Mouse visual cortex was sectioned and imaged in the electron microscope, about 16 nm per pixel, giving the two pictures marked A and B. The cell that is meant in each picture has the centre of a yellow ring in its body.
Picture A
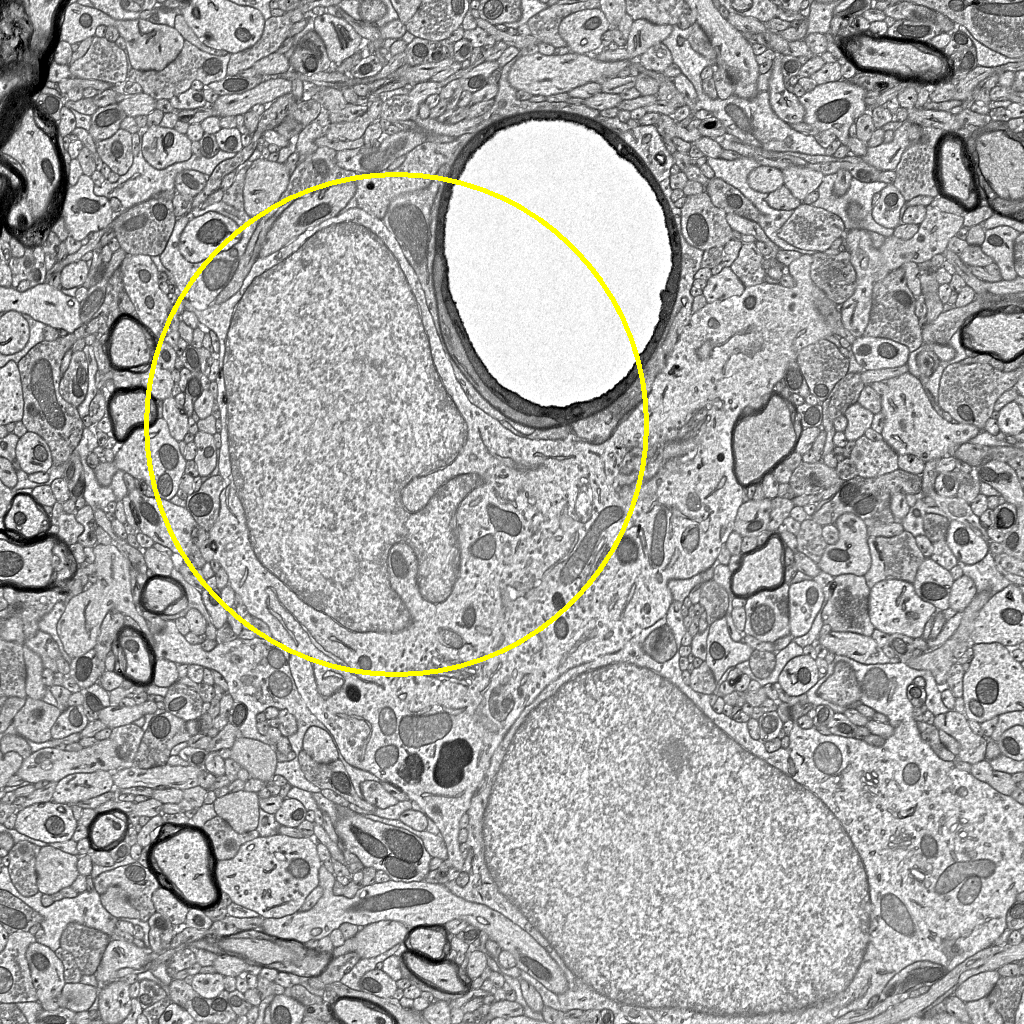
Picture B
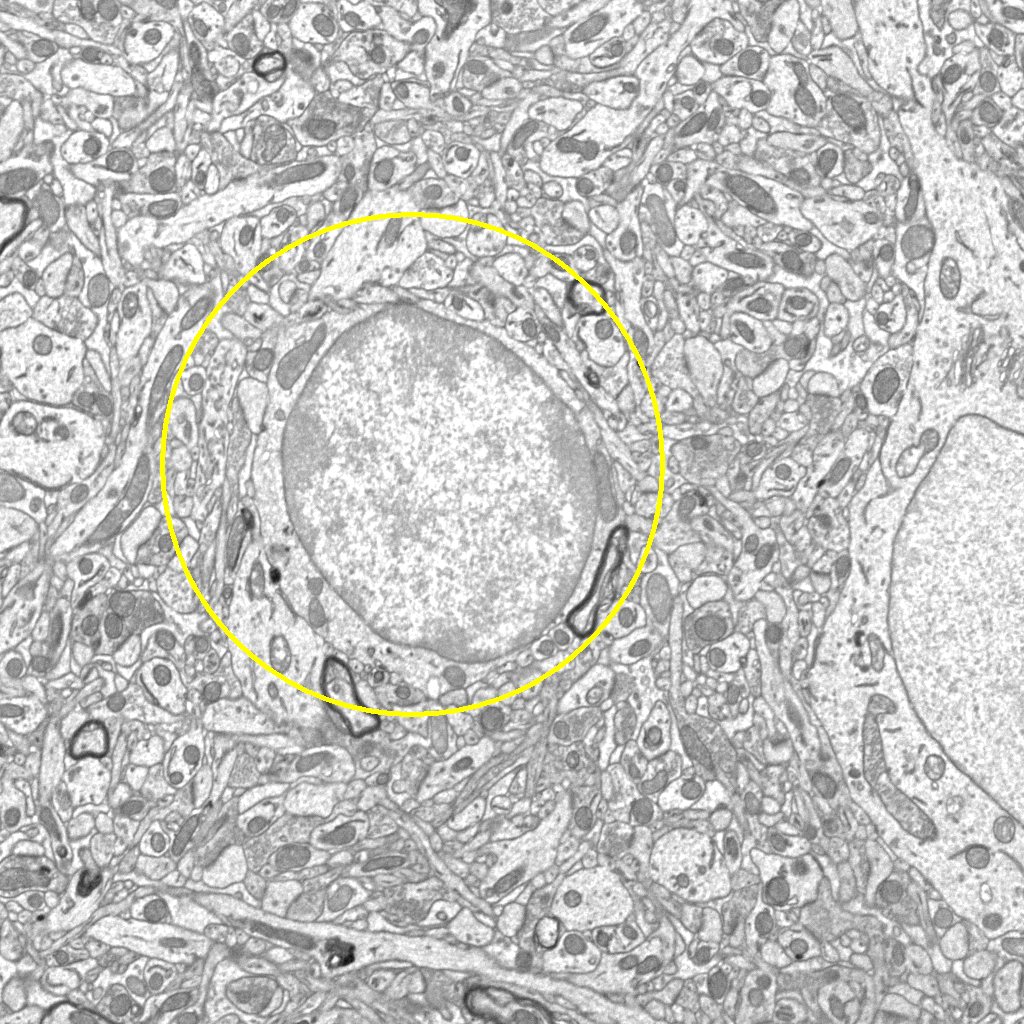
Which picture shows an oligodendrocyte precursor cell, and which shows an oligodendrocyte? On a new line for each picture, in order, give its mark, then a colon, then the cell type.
A: oligodendrocyte precursor cell
B: oligodendrocyte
